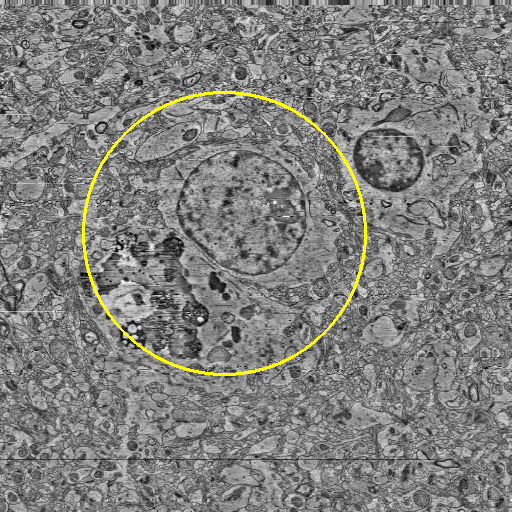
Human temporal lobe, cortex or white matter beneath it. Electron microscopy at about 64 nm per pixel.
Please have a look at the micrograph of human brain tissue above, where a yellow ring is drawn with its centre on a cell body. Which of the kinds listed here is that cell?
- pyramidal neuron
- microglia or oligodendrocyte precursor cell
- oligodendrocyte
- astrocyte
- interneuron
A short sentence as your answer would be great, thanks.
At the centre of the ring sits an astrocyte.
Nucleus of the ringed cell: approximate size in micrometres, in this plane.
The ringed cell's nucleus is about 8 micrometres across in this plane.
